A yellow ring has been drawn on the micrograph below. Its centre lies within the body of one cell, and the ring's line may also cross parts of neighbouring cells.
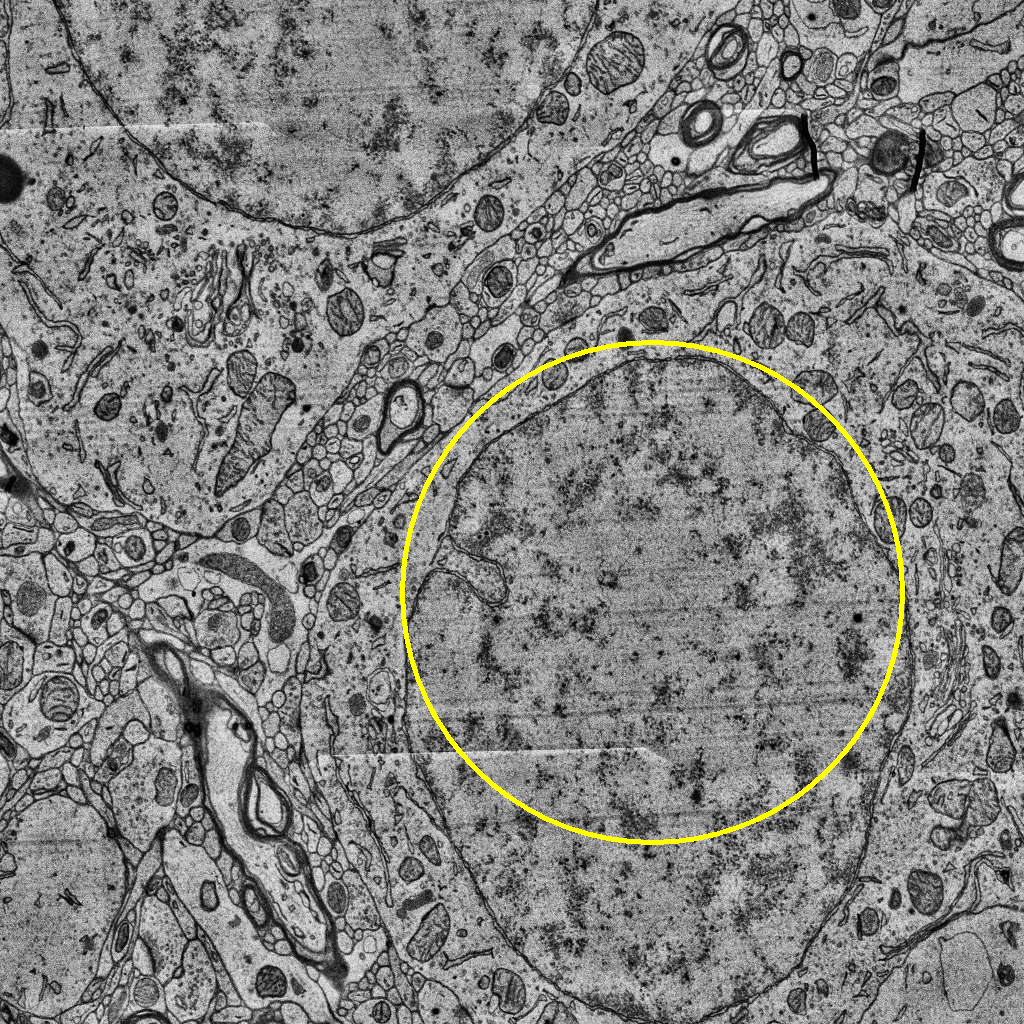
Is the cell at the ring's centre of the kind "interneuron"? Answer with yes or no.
yes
